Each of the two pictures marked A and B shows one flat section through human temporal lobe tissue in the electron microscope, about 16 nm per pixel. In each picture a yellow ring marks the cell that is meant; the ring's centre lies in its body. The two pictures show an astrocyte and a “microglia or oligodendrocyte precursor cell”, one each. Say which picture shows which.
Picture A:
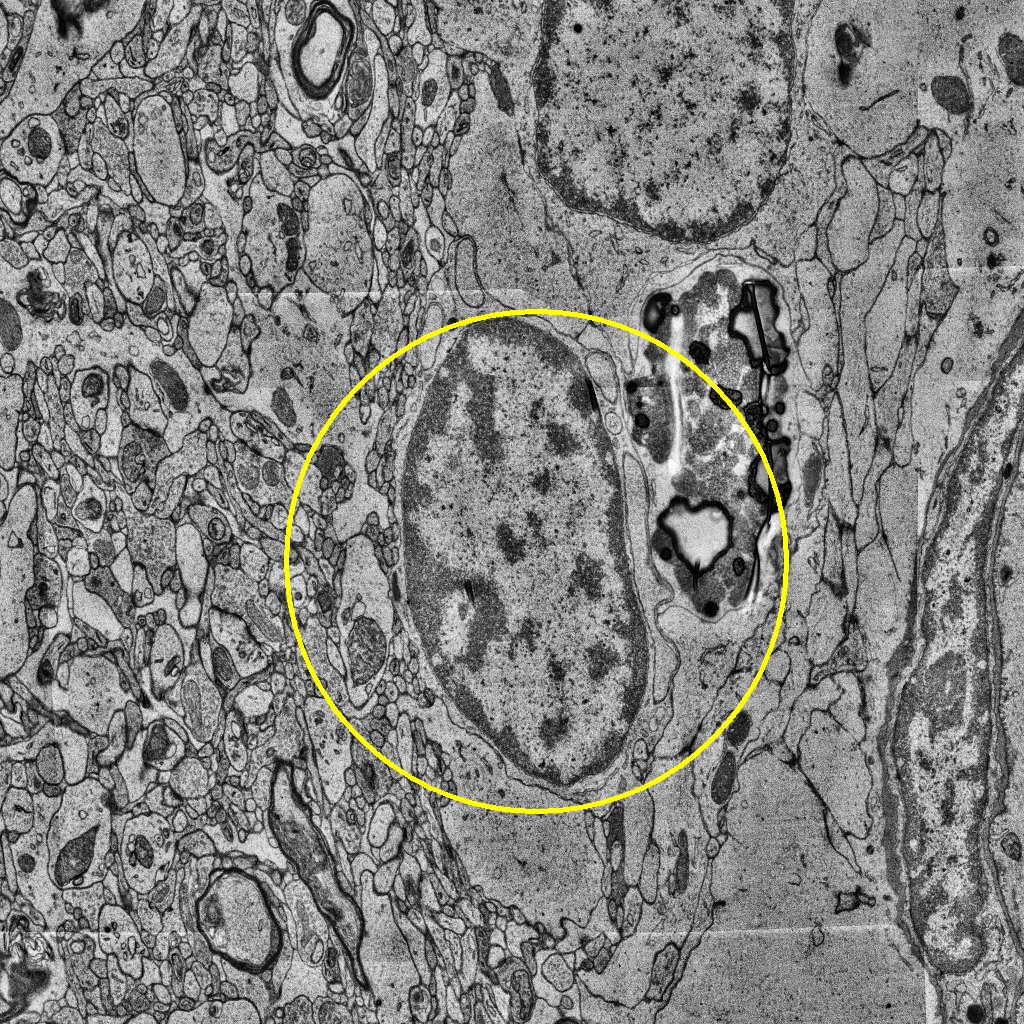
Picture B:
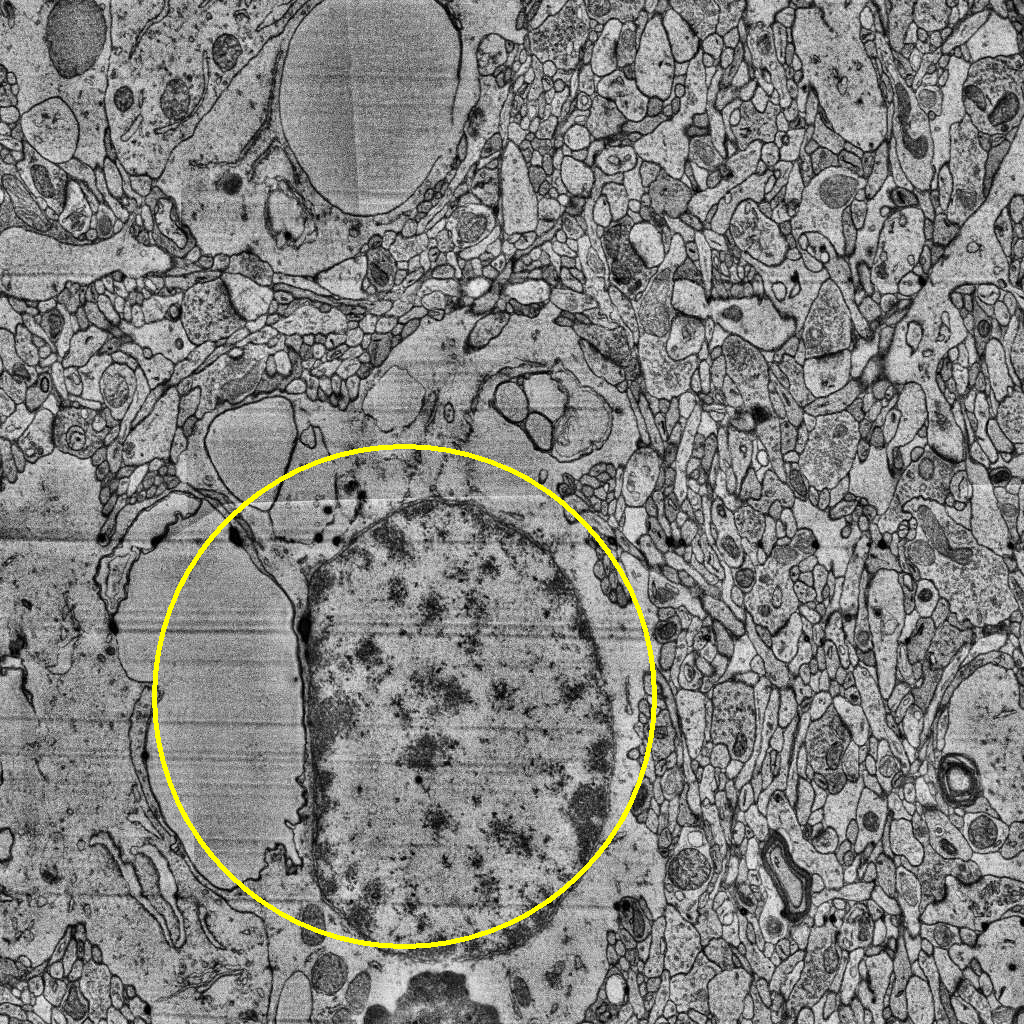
Picture A shows a “microglia or oligodendrocyte precursor cell” and picture B shows an astrocyte.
